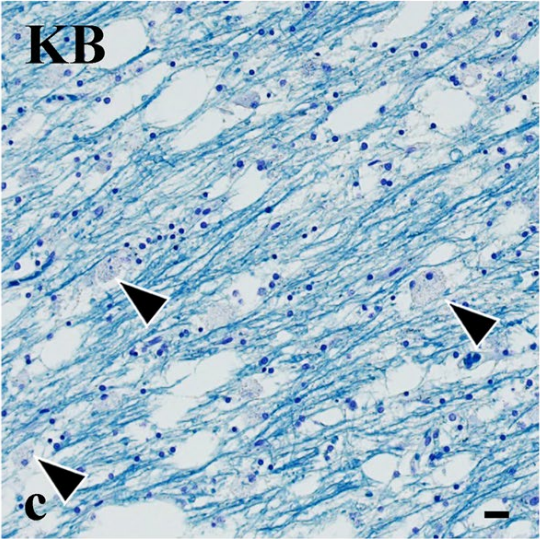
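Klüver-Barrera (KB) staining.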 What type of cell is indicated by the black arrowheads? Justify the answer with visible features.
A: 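The arrowheads point to large rounded cells, much bigger than the surrounding small nuclei. Their cytoplasm is pale and bubbly. They lie among fragmented pale blue fibres and clear vacuoles.
Foamy macrophages.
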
